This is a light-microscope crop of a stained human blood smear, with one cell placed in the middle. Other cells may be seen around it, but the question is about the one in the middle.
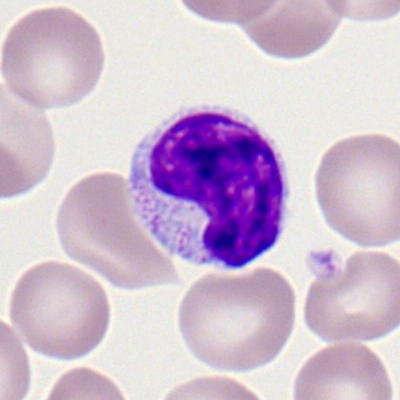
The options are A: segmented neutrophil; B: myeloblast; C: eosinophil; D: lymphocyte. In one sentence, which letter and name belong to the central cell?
The centered cell is a lymphocyte, which is why option D is right.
